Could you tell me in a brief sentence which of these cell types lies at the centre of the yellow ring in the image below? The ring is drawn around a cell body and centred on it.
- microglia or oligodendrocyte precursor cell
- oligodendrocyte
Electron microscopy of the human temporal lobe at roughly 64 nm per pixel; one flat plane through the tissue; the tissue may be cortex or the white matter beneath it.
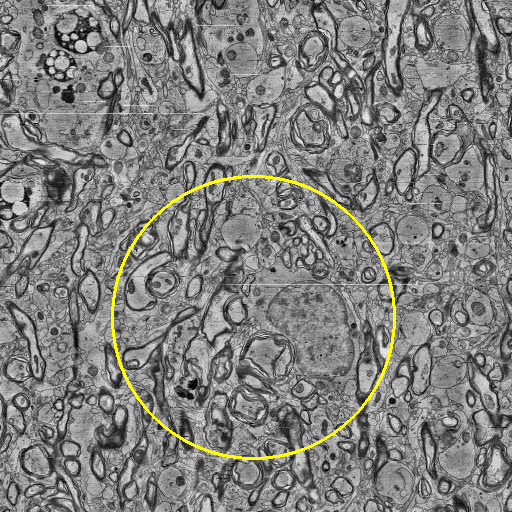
The cell centred in the ring is an oligodendrocyte.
